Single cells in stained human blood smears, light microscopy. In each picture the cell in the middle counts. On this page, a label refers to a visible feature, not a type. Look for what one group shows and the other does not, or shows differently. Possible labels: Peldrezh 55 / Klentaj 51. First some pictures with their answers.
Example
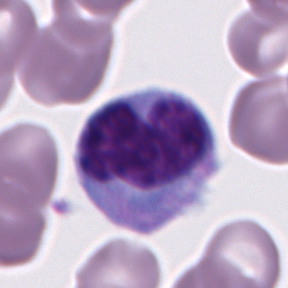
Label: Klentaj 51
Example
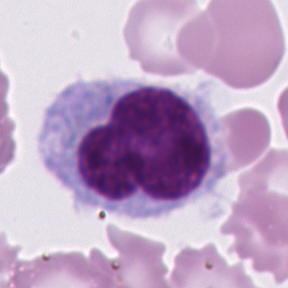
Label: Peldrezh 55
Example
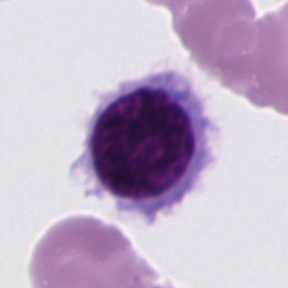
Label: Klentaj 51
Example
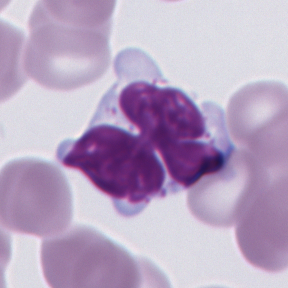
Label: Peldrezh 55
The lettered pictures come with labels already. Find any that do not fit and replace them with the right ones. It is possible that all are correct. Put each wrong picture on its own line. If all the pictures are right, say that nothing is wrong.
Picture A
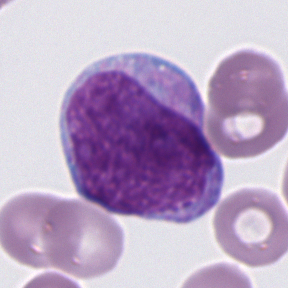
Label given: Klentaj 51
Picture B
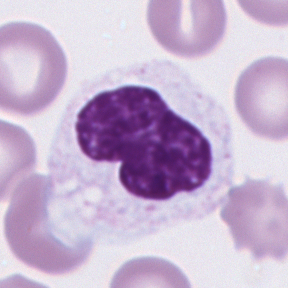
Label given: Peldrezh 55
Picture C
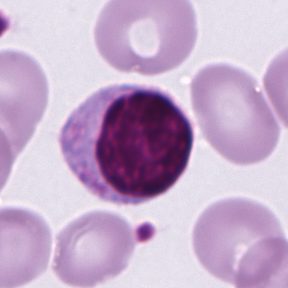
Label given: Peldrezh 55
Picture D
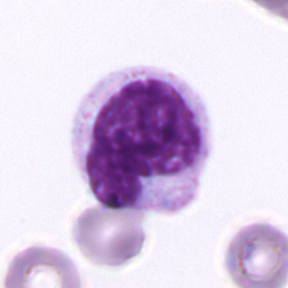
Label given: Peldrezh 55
C: change Peldrezh 55 to Klentaj 51
D: change Peldrezh 55 to Klentaj 51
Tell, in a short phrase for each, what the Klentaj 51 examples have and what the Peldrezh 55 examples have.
Klentaj 51, single compact nucleus; Peldrezh 55, lobed nucleus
